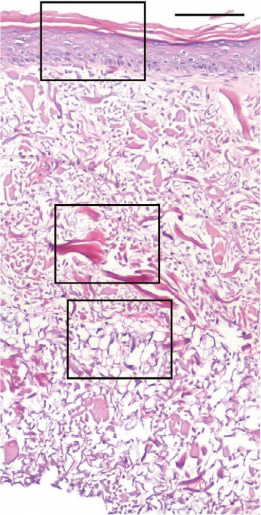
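At the top a stratified epidermis with a flaky pink surface layer sits on a fairly flat border. Below it a dermis of loose, irregular pink fibrous material holds scattered nuclei.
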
